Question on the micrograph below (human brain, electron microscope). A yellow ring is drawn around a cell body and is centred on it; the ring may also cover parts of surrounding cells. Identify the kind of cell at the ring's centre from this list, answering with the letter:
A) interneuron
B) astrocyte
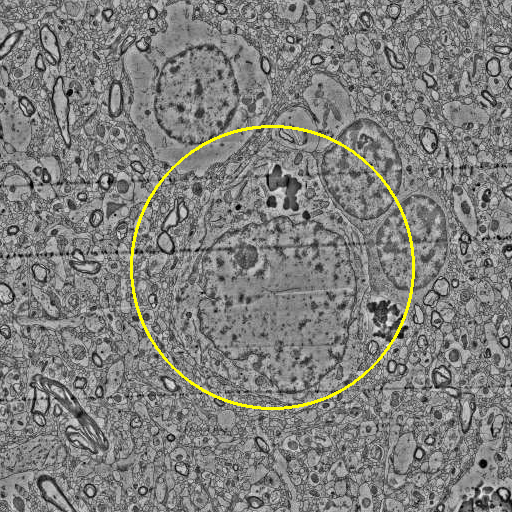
A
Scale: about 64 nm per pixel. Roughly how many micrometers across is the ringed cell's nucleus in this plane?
About 11 micrometers across, in this plane.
